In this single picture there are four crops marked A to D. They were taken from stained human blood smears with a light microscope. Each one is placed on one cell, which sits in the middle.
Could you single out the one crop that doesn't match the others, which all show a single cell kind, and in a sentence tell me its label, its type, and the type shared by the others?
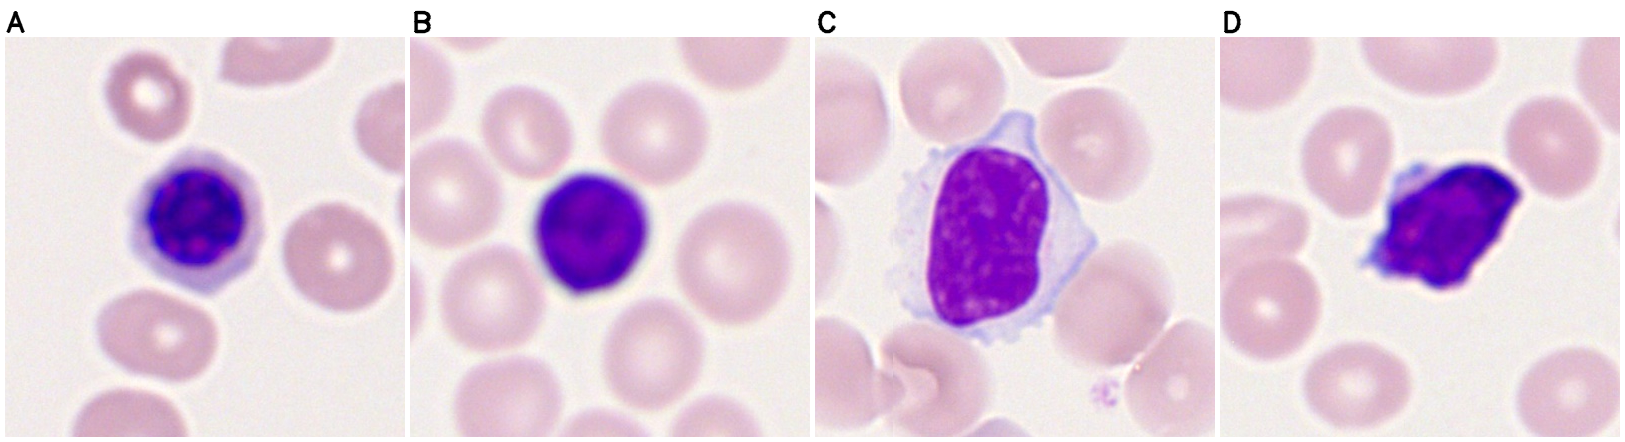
Where the others show lymphocytes, crop A shows an erythroblast.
